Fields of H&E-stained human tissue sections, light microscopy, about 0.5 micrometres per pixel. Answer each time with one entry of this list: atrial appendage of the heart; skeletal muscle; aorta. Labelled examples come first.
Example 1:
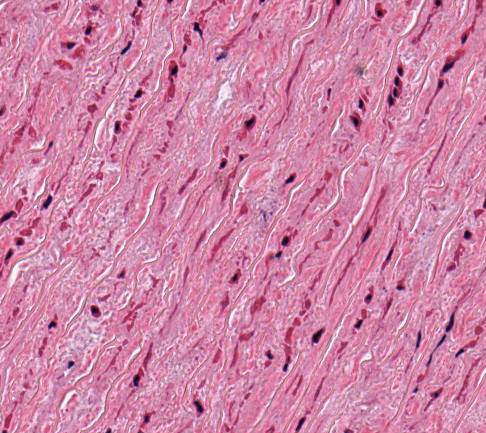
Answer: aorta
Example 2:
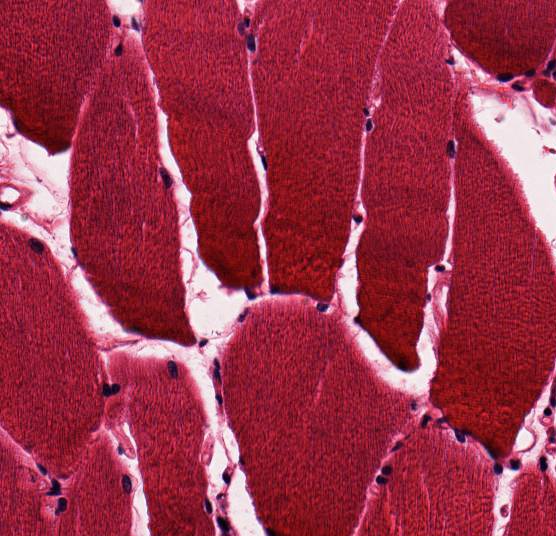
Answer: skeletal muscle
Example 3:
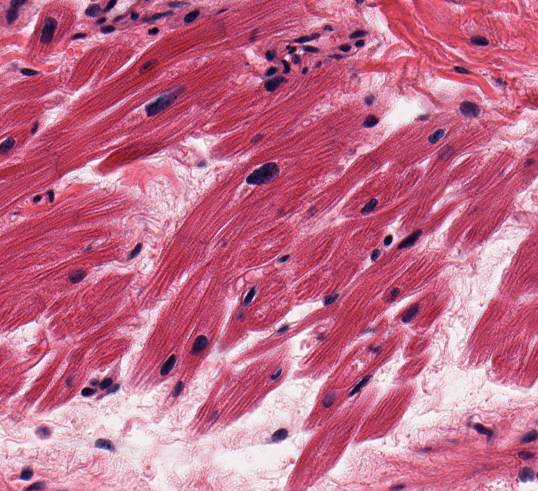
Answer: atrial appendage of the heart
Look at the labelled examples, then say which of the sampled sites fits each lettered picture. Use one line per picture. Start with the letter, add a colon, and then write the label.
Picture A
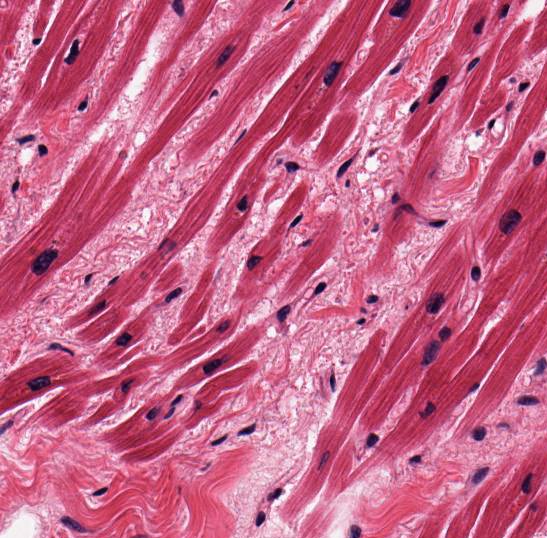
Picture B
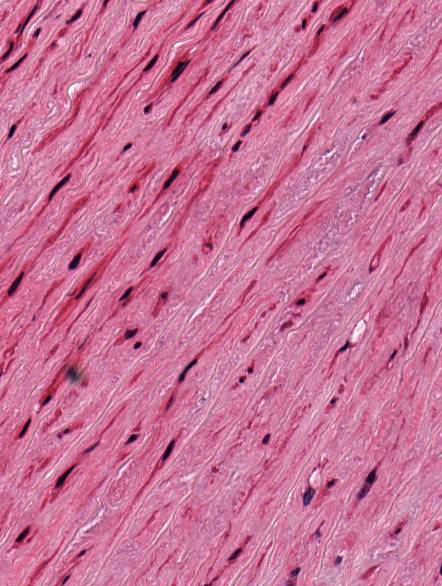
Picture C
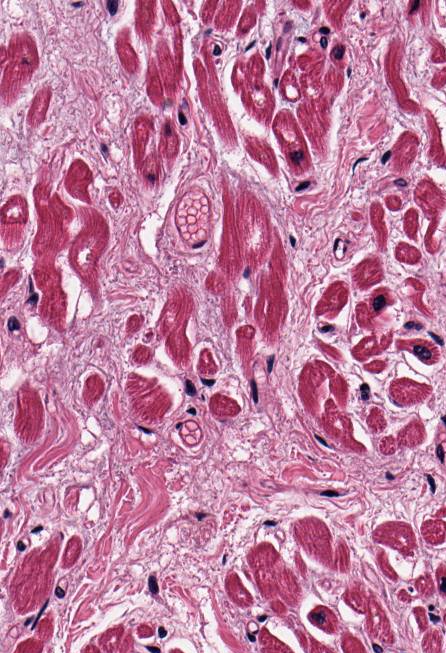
A: atrial appendage of the heart
B: aorta
C: atrial appendage of the heart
